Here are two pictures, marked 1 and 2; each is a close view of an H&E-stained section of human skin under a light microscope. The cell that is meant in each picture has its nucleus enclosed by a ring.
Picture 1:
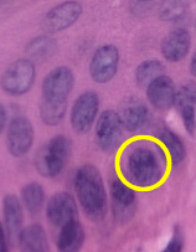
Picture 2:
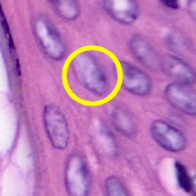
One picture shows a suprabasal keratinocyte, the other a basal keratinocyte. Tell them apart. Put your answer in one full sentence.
In picture 1 the cell is a basal keratinocyte; in picture 2, a suprabasal keratinocyte.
